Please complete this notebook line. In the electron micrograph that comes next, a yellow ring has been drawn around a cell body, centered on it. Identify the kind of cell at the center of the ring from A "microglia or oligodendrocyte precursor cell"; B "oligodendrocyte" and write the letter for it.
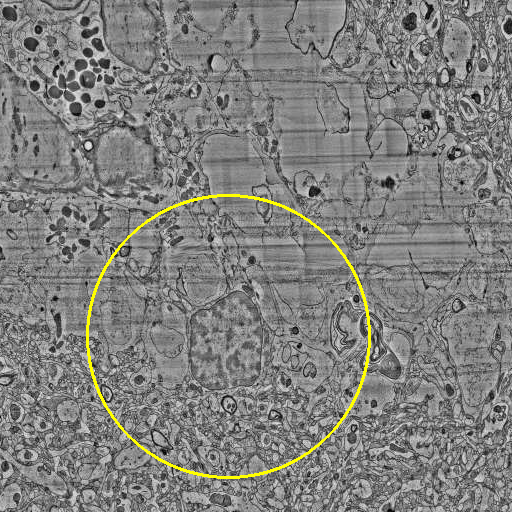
A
